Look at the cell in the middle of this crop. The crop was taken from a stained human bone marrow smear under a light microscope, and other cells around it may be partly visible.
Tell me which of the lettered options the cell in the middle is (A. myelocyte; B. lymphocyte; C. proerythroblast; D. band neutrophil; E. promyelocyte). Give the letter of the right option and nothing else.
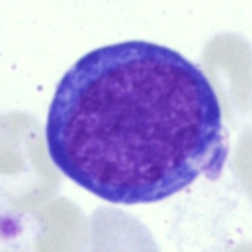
C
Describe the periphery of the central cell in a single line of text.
The border of the cell is irregular, being either ragged or extended into projections.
